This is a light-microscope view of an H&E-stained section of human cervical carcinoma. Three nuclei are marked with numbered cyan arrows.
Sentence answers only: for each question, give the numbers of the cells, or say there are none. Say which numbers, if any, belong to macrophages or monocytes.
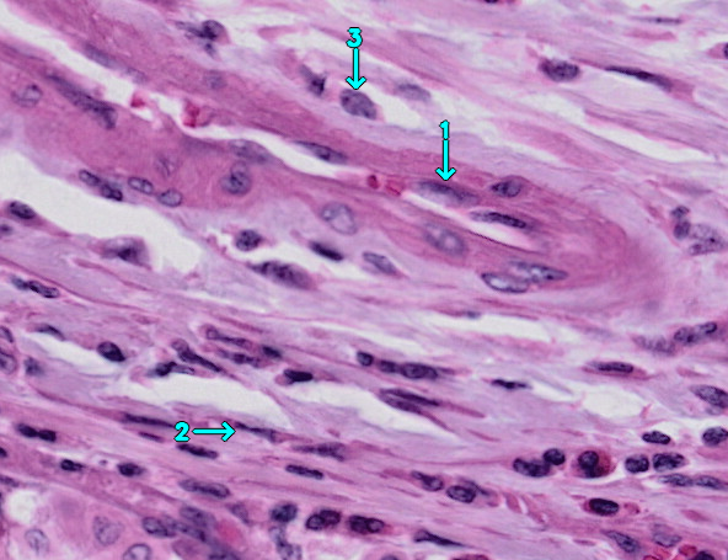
Exactly one of the numbered cells is a macrophage or monocyte, namely cell 3.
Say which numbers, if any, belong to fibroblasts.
Cell 2 is a fibroblast and is the only numbered cell of that kind.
